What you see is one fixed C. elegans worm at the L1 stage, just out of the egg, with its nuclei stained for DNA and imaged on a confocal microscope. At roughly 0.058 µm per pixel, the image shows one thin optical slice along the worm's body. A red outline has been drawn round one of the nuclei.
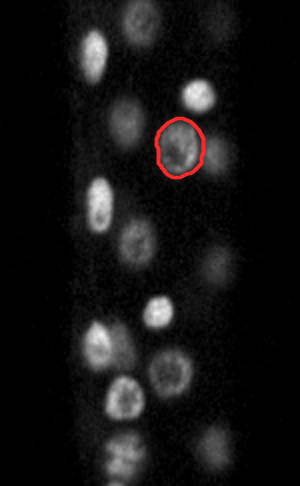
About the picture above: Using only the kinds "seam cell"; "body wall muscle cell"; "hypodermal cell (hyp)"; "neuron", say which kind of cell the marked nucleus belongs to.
hypodermal cell (hyp)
